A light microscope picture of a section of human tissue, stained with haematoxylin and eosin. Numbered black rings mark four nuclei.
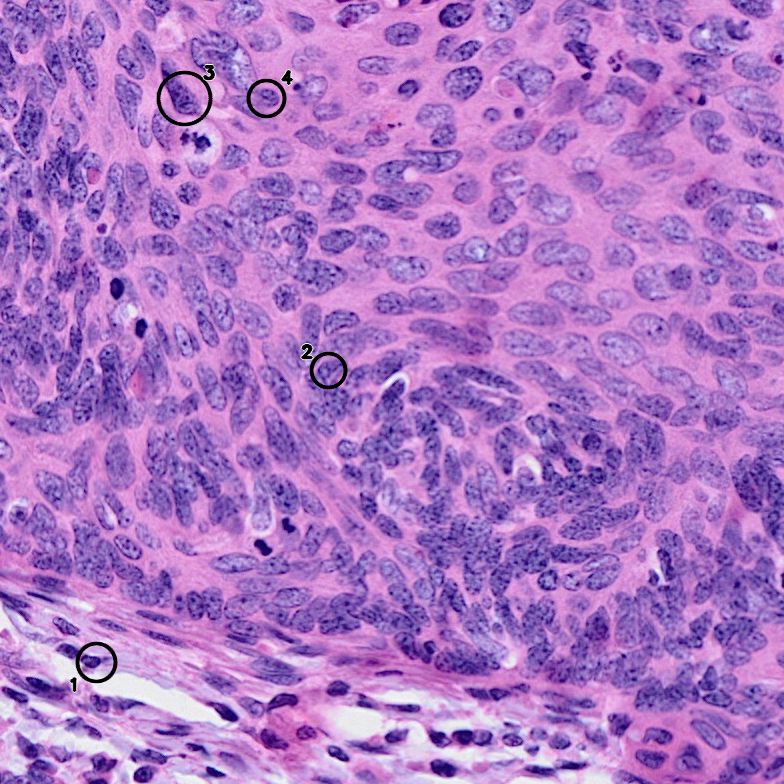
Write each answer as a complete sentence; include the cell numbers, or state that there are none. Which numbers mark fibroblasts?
Of the numbered cells, none can be classed as fibroblasts.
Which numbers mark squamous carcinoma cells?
By cell type, the cells numbered 2, 3 and 4 are squamous carcinoma cells.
